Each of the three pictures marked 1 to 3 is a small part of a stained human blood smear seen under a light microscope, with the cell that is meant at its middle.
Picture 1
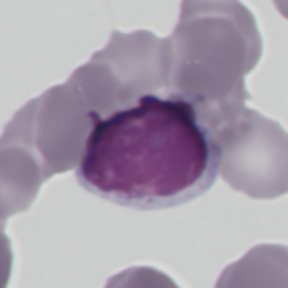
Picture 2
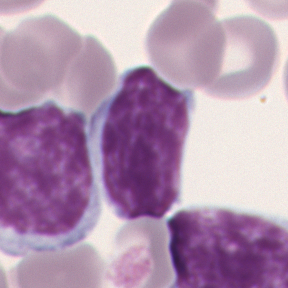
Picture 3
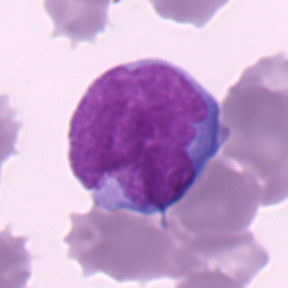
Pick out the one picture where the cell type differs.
3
